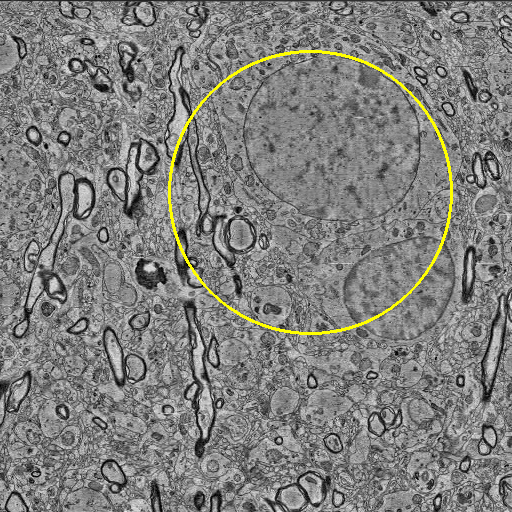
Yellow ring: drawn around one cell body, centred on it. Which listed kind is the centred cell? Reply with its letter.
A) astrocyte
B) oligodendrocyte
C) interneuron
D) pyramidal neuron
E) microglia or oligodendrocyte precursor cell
C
